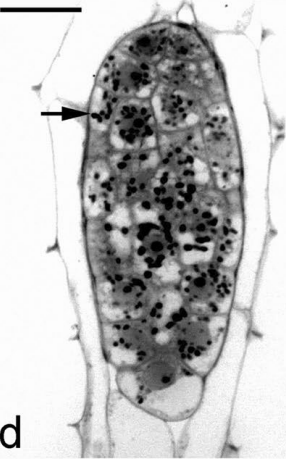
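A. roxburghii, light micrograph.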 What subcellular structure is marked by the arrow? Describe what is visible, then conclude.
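The arrow points to a cluster of dark rounded granules in a cell. Such dark granules fill many cells throughout the embryo.
Starch grains.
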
